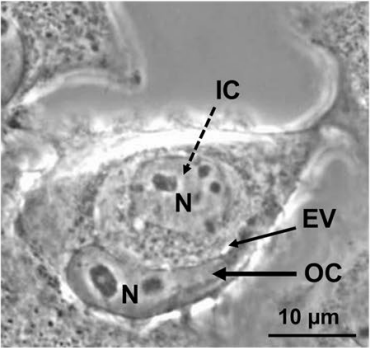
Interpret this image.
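The inner cell is round, with a large central nucleus holding several dark nucleoli and a granular cytoplasm, and is bordered by a thin bright rim. The outer cell is stretched around it as a narrow rim of cytoplasm, and its nucleus is elongated and pushed to the periphery beneath the inner cell.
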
